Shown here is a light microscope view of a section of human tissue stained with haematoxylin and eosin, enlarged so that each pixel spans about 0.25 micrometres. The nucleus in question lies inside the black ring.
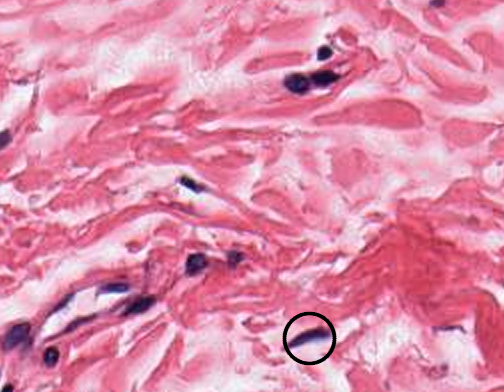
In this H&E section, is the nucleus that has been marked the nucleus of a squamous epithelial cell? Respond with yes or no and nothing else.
no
